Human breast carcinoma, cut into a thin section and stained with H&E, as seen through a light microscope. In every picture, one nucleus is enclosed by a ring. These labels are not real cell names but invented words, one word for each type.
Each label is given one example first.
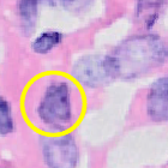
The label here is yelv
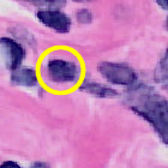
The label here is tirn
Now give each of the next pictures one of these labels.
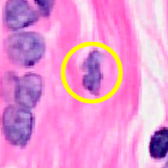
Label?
tirn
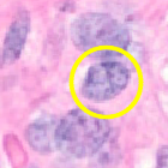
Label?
yelv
